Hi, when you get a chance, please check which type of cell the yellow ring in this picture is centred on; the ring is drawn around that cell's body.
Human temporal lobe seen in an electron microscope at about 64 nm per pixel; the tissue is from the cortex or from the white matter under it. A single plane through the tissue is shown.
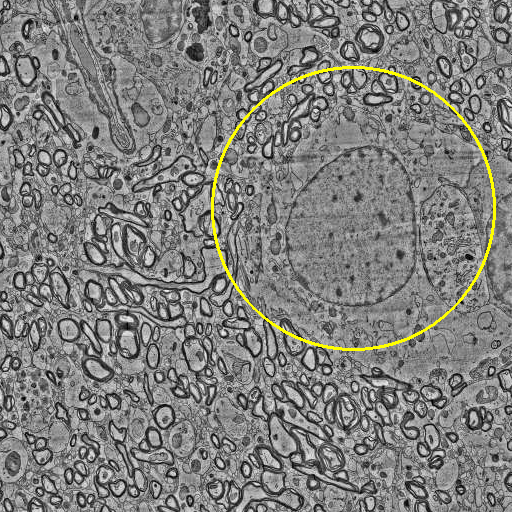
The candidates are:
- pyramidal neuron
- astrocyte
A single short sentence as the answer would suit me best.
The ring is drawn around the body of an astrocyte.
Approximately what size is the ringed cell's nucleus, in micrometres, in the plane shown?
The nucleus has a long axis of about 10 micrometres and a short axis of about 9 micrometres in this plane.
